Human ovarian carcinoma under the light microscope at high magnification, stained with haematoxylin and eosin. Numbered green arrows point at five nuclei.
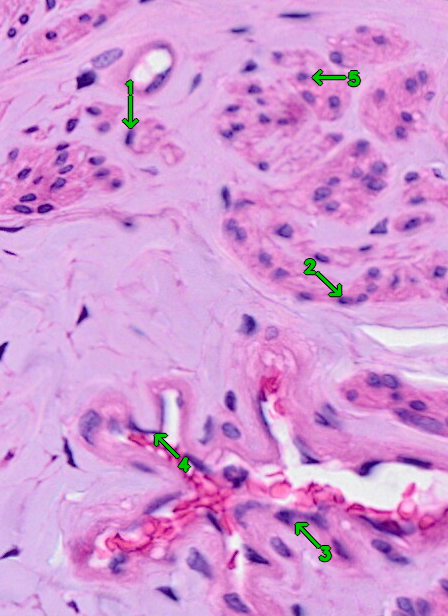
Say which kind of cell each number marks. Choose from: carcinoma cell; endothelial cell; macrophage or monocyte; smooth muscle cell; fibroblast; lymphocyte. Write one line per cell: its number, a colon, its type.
1: smooth muscle cell
2: smooth muscle cell
3: endothelial cell
4: endothelial cell
5: smooth muscle cell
